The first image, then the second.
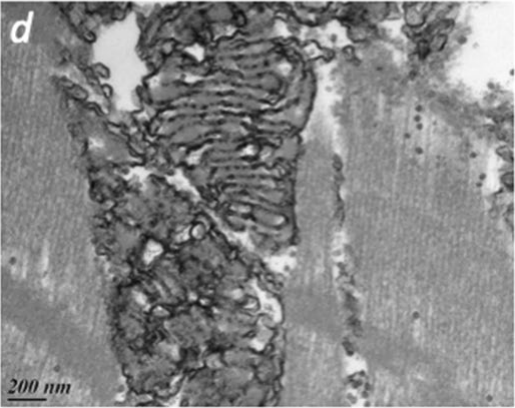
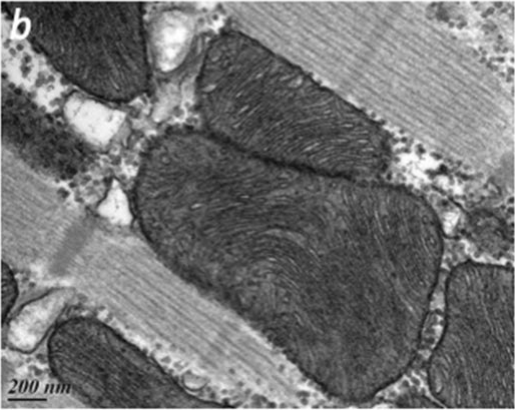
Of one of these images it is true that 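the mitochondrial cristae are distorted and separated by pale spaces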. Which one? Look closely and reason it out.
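First image: the mitochondrion shows wavy, irregular inner folds with pale gaps between them. Second image: the mitochondria are dense with tightly packed, regular parallel folds. That points to this answer: the first image.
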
